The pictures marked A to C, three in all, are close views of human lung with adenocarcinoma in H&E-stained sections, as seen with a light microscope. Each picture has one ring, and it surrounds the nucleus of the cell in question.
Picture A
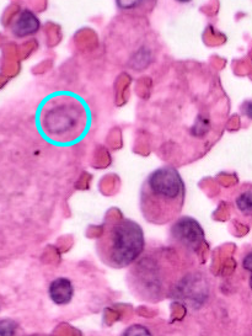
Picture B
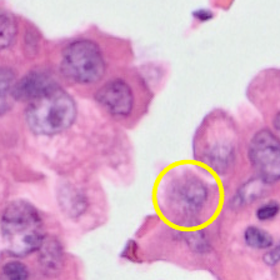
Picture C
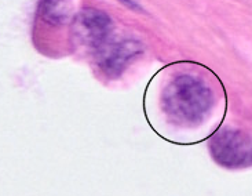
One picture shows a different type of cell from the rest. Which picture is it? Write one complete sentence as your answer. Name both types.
All pictures except A show carcinoma cells; picture A shows a “macrophage or monocyte”.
